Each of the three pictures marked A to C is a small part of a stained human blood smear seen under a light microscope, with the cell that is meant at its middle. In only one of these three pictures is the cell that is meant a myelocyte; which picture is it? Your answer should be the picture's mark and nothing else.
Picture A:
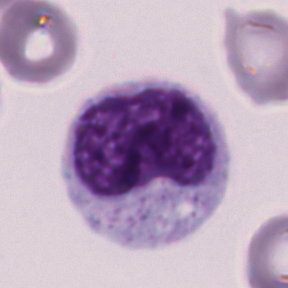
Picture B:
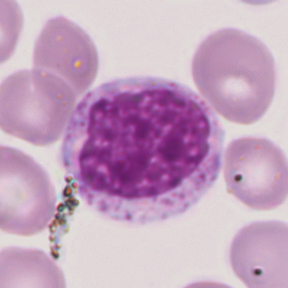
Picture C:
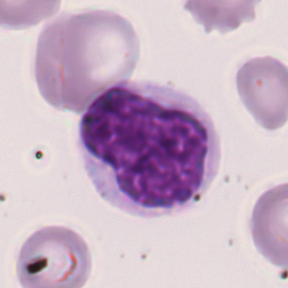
B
